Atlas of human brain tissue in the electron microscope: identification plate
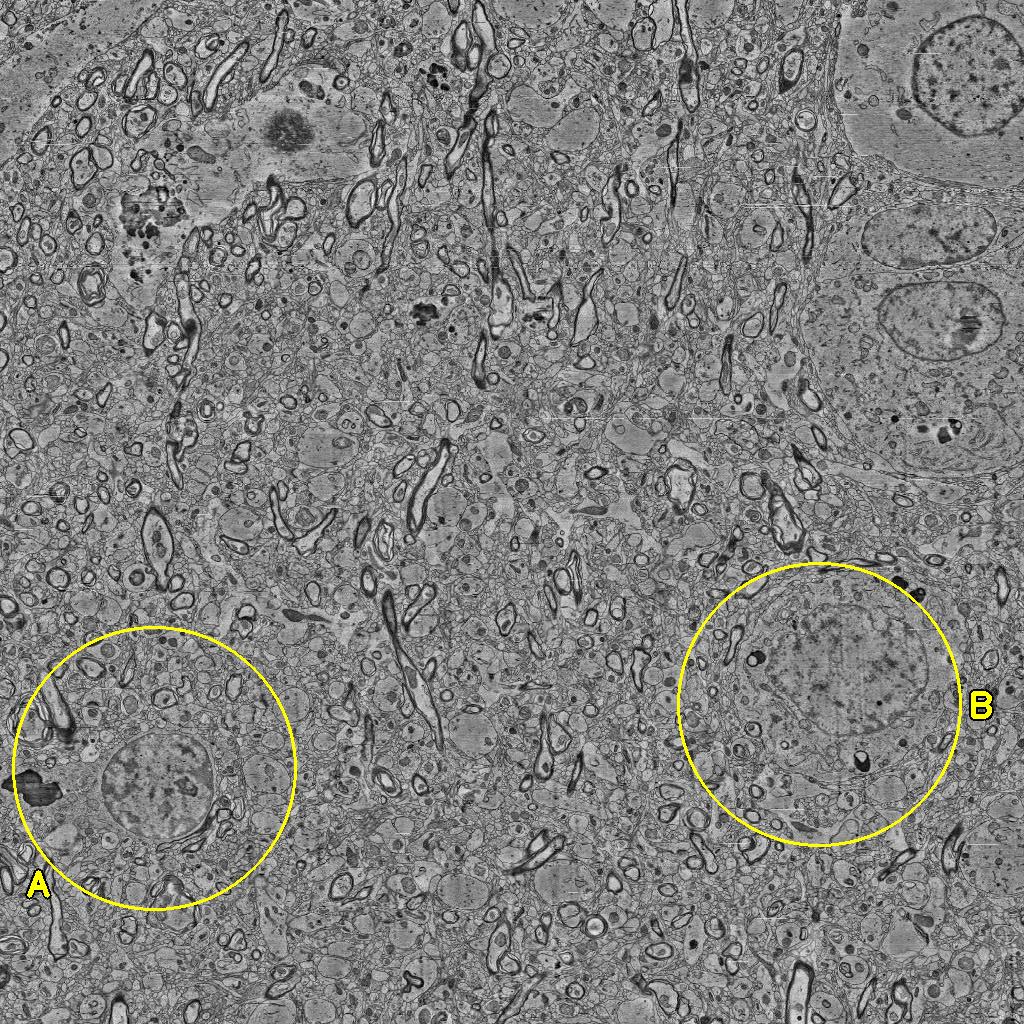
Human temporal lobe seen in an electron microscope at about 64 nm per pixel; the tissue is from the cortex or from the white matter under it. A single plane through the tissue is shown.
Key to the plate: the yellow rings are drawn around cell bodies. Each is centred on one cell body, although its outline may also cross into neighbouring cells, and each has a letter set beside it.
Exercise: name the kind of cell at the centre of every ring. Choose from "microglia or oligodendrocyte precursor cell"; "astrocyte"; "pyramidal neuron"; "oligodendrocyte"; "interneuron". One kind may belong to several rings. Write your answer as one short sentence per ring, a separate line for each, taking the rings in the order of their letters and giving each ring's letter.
The centre of ring A is occupied by an oligodendrocyte.
The centre of ring B is occupied by an interneuron.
